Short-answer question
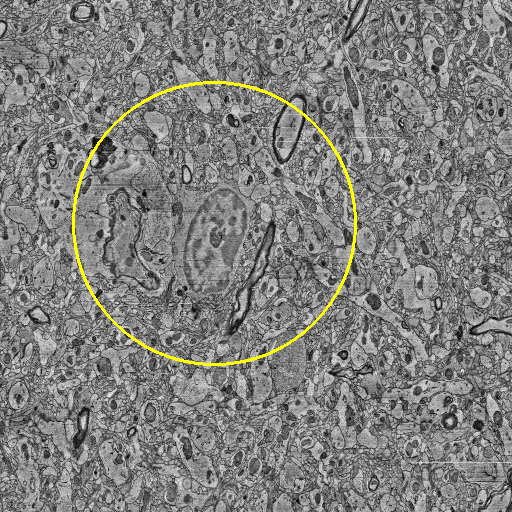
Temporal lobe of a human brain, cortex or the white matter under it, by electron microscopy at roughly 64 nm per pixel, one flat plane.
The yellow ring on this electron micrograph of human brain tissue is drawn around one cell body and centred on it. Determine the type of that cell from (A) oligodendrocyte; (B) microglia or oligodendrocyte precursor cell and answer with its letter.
A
